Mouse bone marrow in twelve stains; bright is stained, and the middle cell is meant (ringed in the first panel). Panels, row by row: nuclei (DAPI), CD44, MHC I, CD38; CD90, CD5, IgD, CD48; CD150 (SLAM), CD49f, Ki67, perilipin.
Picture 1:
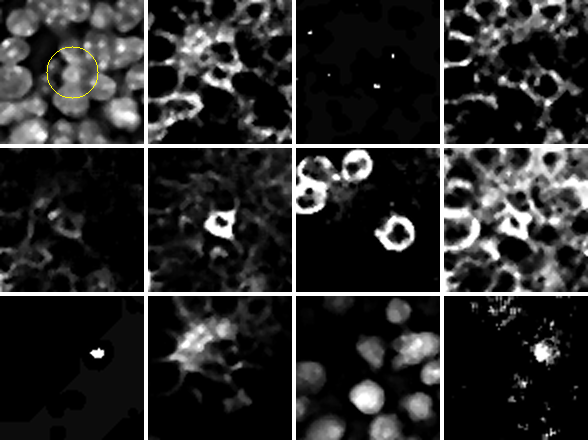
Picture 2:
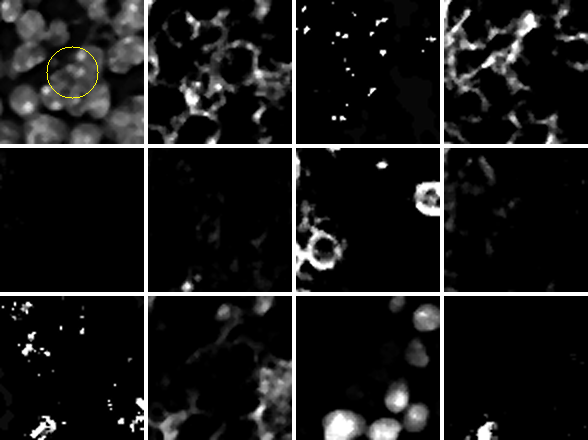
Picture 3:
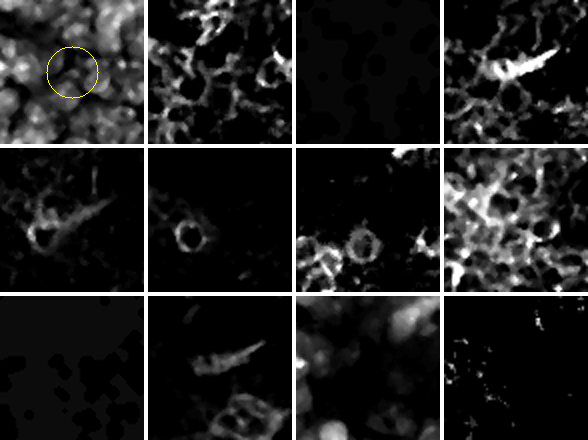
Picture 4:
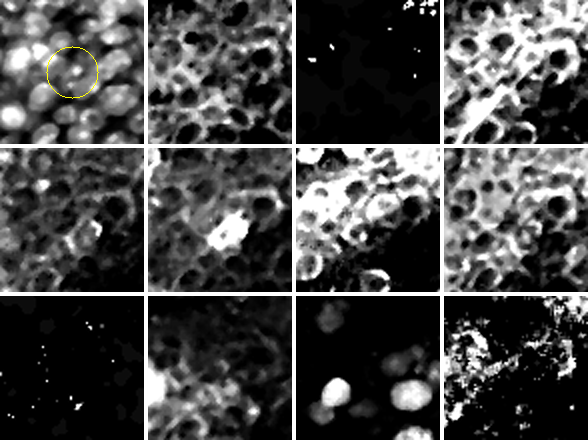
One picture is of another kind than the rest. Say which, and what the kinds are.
Picture 1 shows a T cell; the rest show capillary endothelial cells.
